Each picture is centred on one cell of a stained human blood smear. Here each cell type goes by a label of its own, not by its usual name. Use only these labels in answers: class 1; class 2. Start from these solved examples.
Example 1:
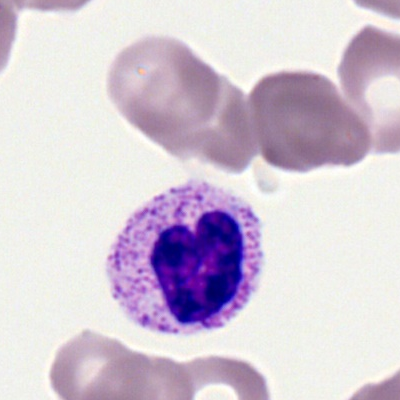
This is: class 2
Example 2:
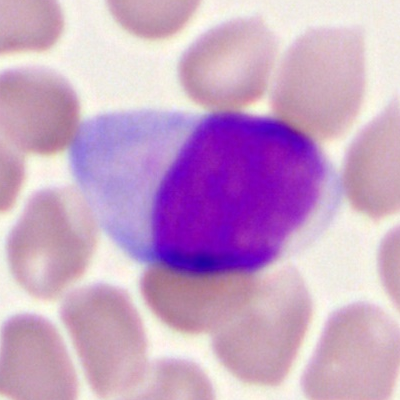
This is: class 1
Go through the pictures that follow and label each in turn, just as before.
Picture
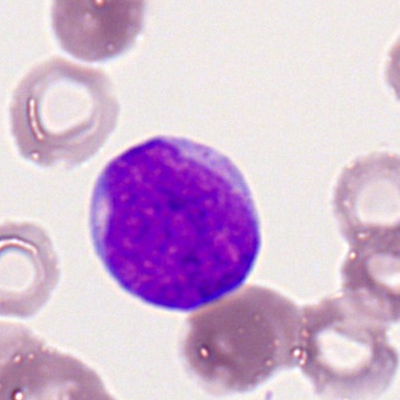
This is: class 1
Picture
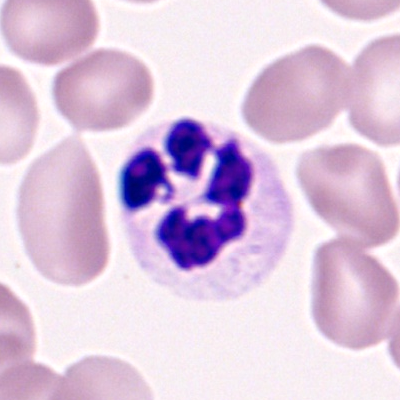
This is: class 2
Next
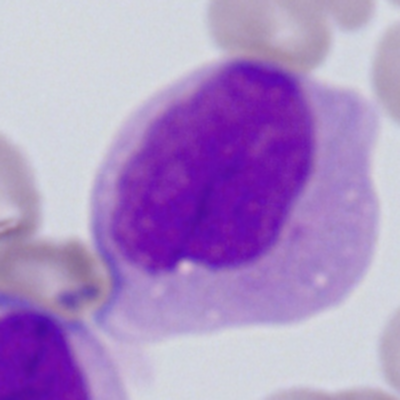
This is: class 1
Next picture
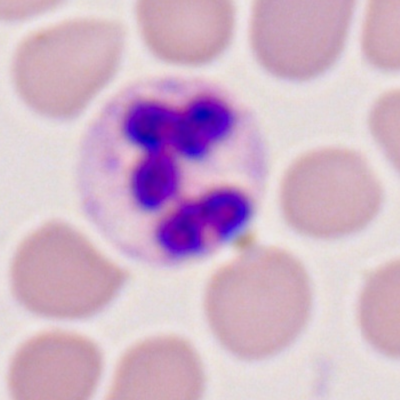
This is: class 2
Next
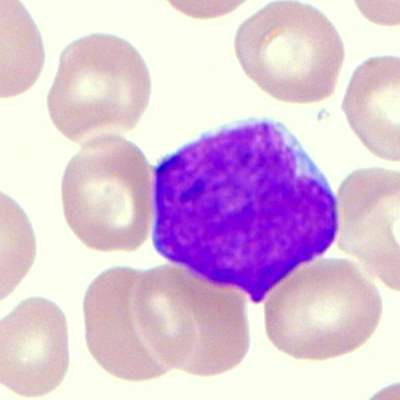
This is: class 1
